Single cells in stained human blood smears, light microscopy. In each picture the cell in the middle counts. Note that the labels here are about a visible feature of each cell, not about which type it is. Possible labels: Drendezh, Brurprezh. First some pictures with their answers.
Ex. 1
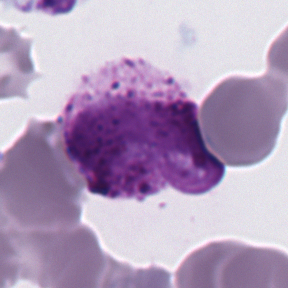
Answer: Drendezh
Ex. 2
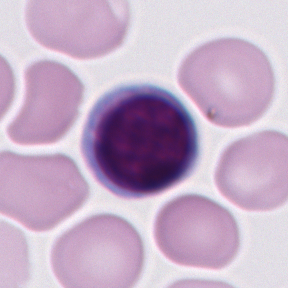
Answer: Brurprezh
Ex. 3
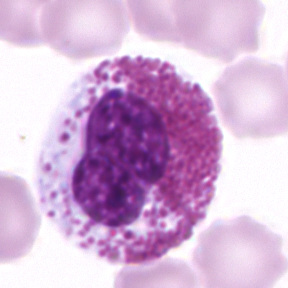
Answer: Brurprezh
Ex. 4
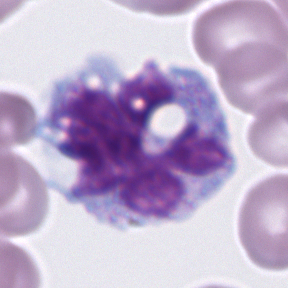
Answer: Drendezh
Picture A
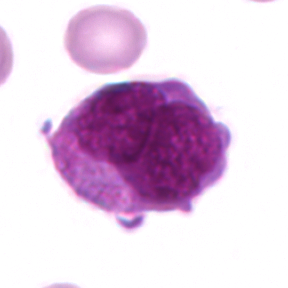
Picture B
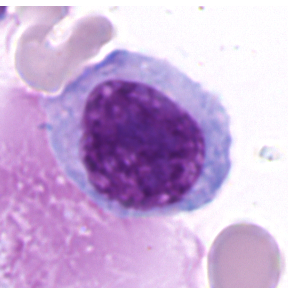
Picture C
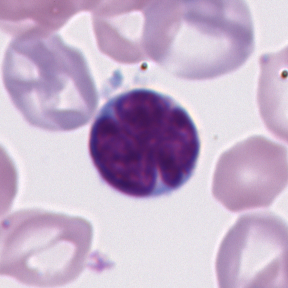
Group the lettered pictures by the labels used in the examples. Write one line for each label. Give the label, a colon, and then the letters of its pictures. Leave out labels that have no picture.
Drendezh: A
Brurprezh: B, C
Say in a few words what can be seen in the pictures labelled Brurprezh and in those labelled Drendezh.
Brurprezh: smooth outline; Drendezh: ragged outline or projections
